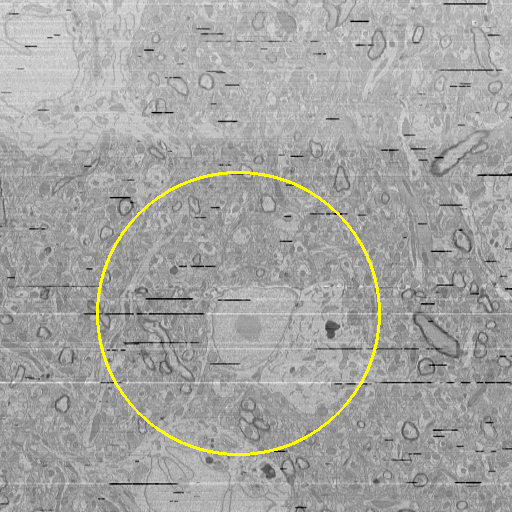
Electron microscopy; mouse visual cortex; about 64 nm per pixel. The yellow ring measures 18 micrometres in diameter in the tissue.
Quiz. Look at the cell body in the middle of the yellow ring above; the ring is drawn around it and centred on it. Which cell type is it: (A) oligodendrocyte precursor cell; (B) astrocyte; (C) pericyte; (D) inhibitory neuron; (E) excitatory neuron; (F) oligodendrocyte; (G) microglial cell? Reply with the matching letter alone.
A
